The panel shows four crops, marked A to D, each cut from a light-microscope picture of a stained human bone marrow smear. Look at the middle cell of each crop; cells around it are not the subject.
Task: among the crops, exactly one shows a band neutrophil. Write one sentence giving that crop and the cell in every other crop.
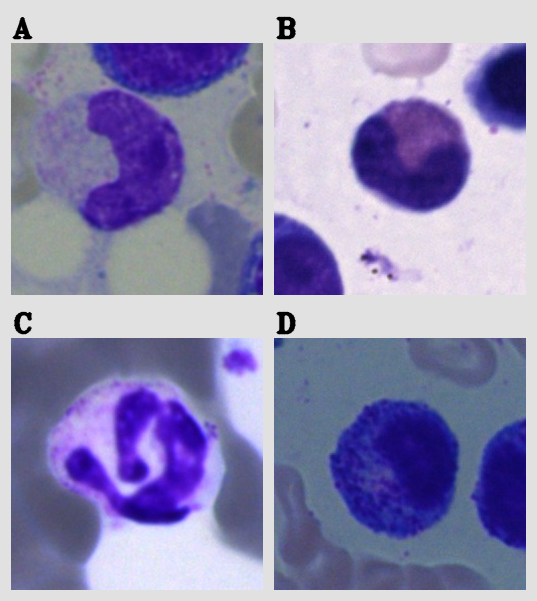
In the case of crop A, the cell is a band neutrophil, while crop B is an eosinophil, crop C is a segmented neutrophil and crop D is a myelocyte.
